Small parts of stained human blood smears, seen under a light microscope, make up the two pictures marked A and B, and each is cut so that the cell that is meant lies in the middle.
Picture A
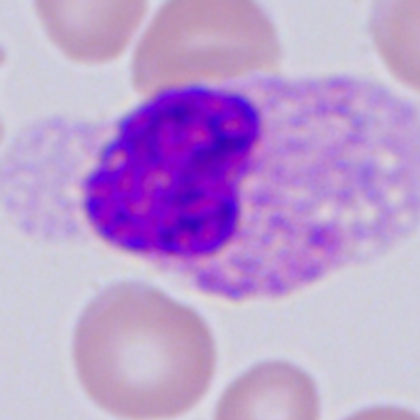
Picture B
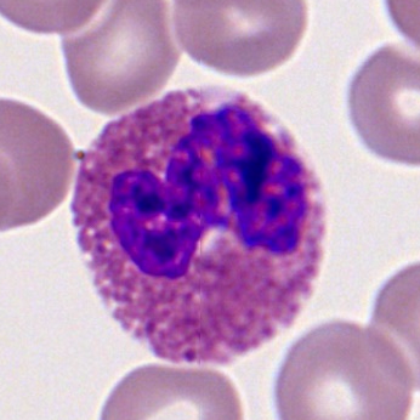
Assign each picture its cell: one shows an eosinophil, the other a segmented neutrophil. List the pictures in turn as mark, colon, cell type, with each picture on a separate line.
A: segmented neutrophil
B: eosinophil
